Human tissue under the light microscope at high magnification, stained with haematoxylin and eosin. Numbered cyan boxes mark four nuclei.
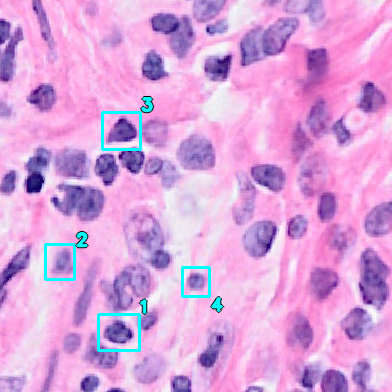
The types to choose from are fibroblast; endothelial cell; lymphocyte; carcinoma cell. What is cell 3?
lymphocyte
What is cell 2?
endothelial cell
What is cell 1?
lymphocyte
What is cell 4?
lymphocyte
